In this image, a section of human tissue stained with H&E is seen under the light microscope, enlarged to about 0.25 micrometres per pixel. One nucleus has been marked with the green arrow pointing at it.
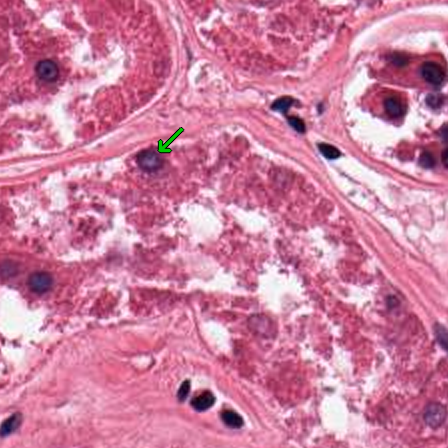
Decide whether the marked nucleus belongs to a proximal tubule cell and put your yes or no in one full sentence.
Yes, in this section the marked nucleus belongs to a proximal tubule cell.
